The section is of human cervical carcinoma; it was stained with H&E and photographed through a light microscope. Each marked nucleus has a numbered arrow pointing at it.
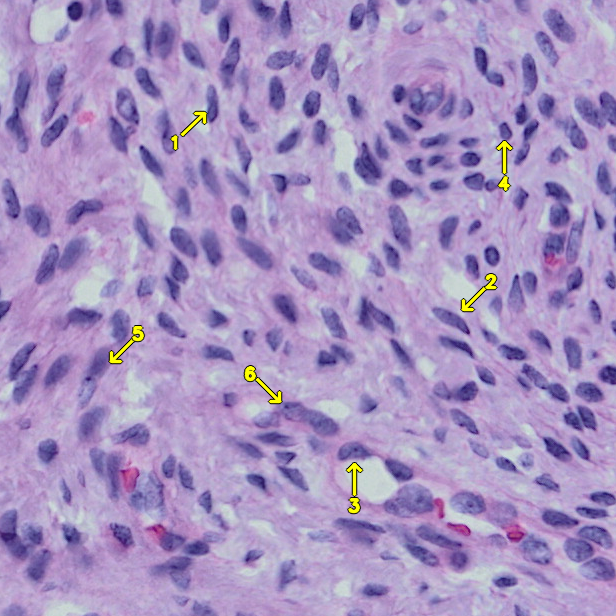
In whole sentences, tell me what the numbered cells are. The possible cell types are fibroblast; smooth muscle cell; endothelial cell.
Cells 1, 2, 4 and 5 are fibroblasts. Cells 3 and 6 are endothelial cells.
